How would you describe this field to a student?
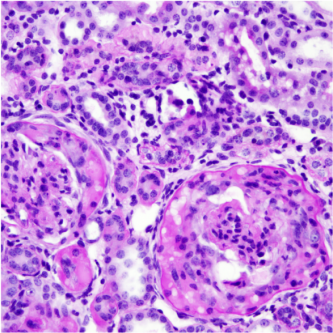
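Kidney cortex with altered glomeruli and crowded tubulointerstitium. A large glomerulus at lower right has a cellular tuft surrounded by a band of cells inside a thickened magenta capsule, and a second glomerulus at lower left shows similar magenta thickening. Between them the interstitium is densely packed with small dark purple nuclei of infiltrating cells. The tubules vary in size; some are small with narrow lumina, and their lining cells have round nuclei and pink cytoplasm, outlined by magenta basement membranes.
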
